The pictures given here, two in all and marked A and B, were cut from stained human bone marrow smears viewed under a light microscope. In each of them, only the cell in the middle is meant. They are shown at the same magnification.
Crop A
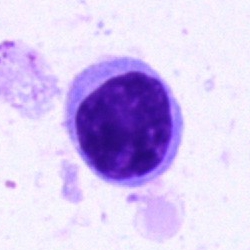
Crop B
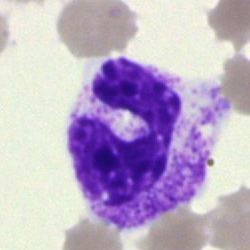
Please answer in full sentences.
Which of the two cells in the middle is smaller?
The cell in crop A is smaller; the one in crop B has about 1.5 times its area.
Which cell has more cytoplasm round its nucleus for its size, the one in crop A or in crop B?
In crop B the nucleus takes up the smaller part of its cell.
